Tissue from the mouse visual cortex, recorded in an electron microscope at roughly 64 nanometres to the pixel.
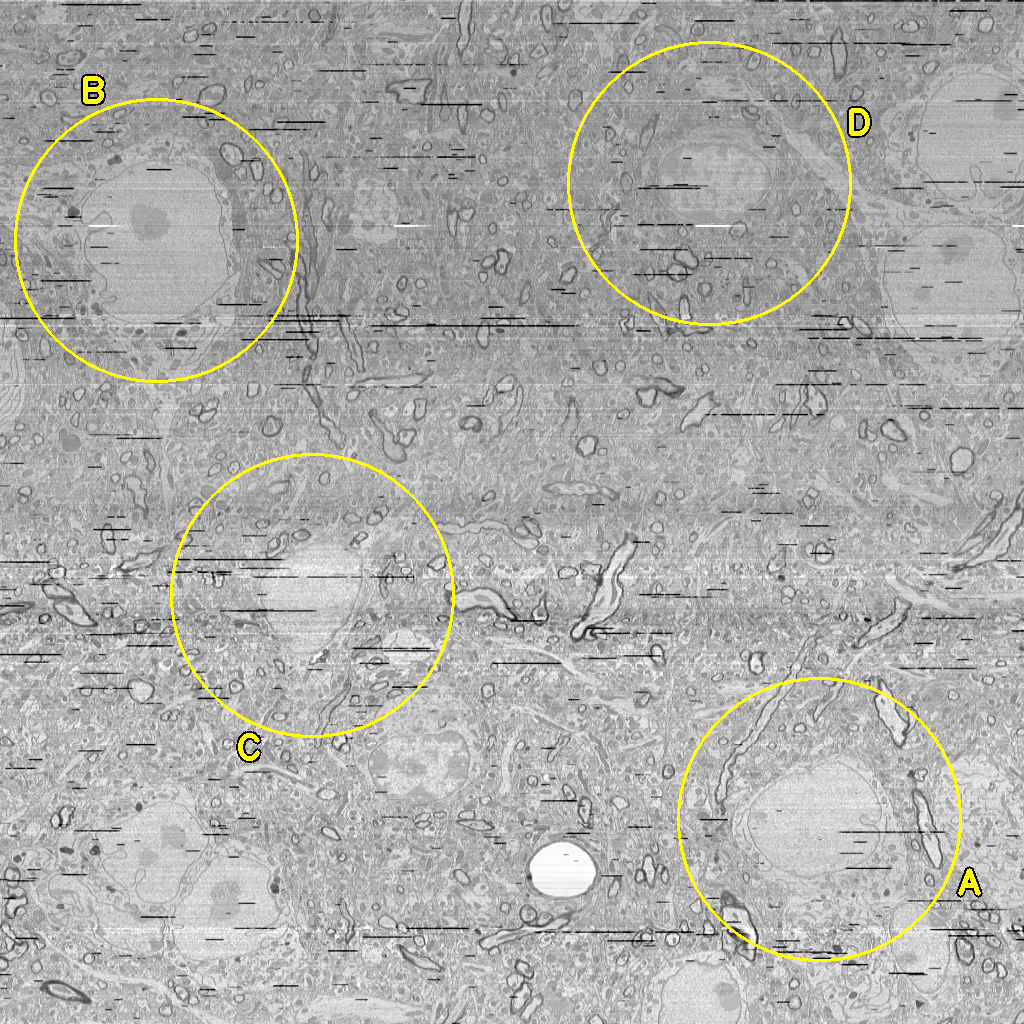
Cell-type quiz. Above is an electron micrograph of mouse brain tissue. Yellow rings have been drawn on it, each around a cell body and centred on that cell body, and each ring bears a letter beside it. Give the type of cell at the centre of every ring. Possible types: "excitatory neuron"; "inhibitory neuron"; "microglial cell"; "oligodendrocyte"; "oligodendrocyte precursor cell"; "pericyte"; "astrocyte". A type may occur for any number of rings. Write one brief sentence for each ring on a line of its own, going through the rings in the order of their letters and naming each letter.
Ring A is centred on the cell body of an excitatory neuron.
Ring B is centred on the cell body of an excitatory neuron.
Ring C is centred on the cell body of an astrocyte.
Ring D is centred on the cell body of an oligodendrocyte.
